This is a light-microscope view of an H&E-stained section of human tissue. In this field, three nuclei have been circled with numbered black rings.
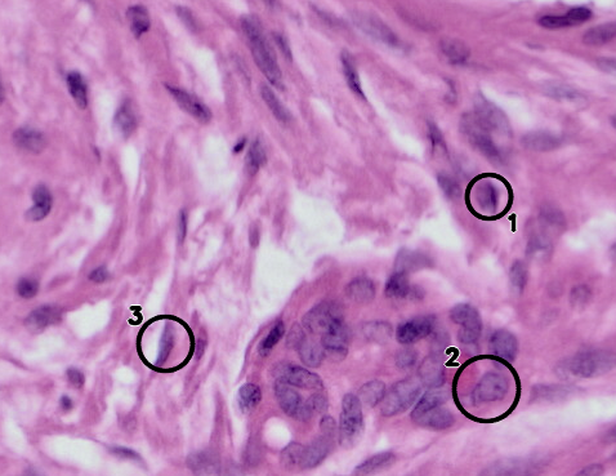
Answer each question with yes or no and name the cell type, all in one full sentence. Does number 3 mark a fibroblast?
Yes, the cell bearing the number 3 is a fibroblast.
